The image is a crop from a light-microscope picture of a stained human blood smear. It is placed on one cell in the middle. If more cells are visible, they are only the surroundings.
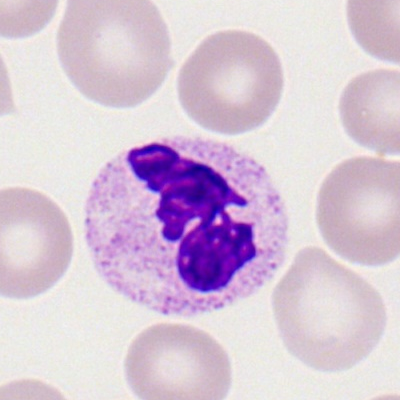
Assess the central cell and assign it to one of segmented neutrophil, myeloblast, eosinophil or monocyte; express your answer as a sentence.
Regarding the central cell, it is a segmented neutrophil.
